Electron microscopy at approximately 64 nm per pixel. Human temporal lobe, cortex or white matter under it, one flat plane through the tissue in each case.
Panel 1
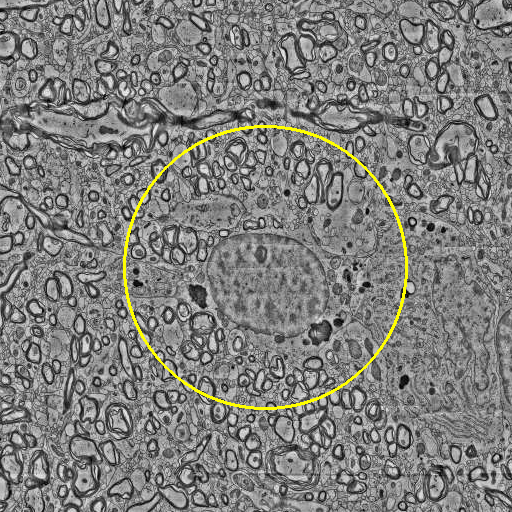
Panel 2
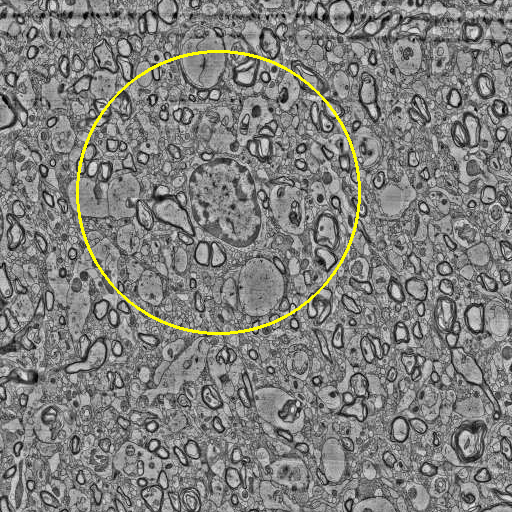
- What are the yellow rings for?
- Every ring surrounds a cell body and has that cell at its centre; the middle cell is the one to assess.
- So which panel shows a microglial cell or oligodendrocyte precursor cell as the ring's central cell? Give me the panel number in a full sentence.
The panel whose ring is centred on the cell in question is panel 2.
